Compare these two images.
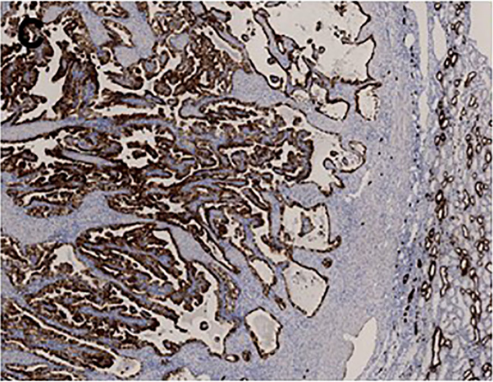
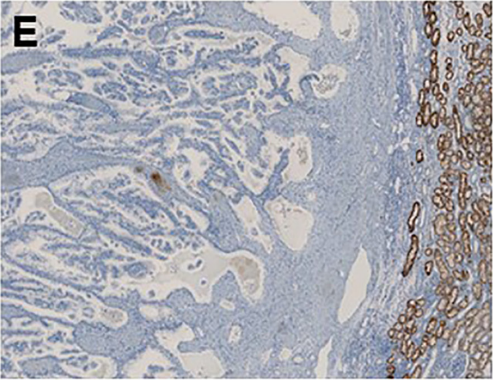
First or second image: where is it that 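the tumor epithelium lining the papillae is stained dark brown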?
the first image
